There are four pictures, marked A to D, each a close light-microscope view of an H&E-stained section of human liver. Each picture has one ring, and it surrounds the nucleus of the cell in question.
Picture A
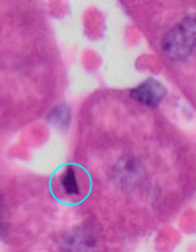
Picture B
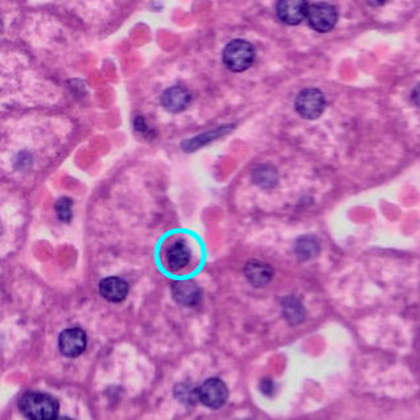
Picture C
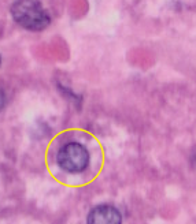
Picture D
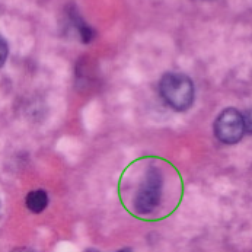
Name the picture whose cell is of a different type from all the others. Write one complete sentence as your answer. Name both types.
Unlike the rest, which show “fibroblasts or stellate cells”, picture C shows a hepatocyte.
